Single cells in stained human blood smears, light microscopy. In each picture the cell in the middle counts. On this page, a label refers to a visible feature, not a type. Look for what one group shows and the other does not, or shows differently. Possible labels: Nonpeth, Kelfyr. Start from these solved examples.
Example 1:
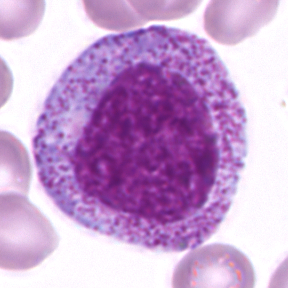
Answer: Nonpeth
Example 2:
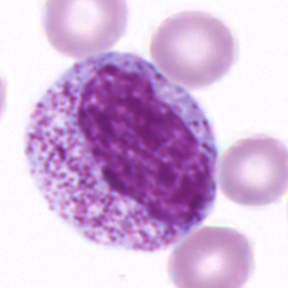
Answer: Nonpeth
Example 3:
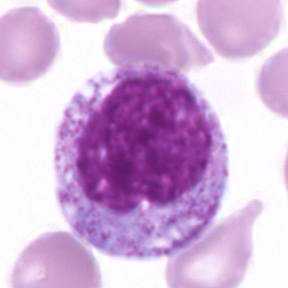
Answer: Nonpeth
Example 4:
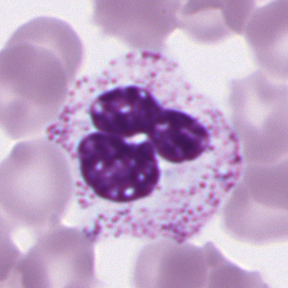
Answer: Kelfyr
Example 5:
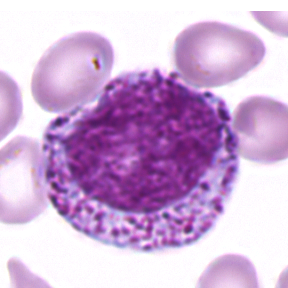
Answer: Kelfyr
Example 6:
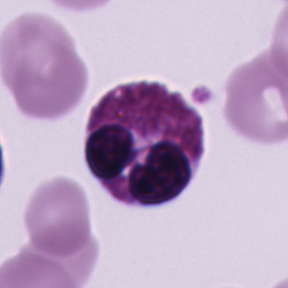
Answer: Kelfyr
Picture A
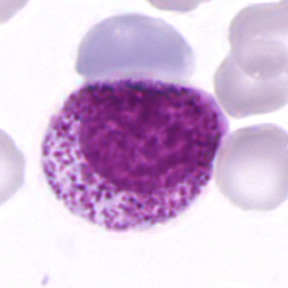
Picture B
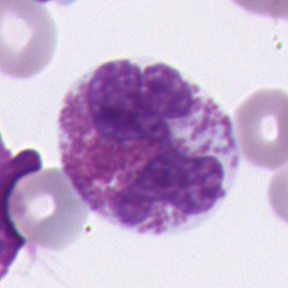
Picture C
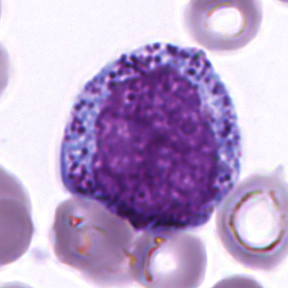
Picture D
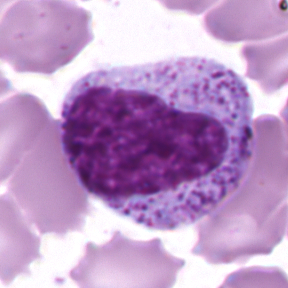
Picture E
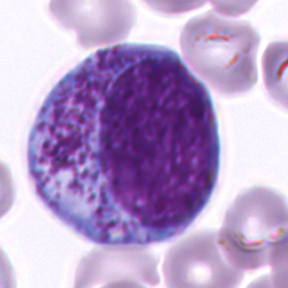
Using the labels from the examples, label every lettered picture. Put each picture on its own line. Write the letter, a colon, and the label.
A: Kelfyr
B: Kelfyr
C: Kelfyr
D: Nonpeth
E: Kelfyr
